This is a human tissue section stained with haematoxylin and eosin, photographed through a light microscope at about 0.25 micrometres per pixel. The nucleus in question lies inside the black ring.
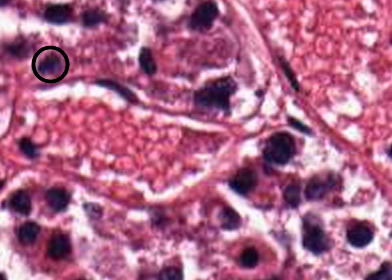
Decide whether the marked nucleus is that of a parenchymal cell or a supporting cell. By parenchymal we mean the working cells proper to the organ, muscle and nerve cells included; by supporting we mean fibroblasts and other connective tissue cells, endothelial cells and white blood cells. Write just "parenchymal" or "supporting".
parenchymal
